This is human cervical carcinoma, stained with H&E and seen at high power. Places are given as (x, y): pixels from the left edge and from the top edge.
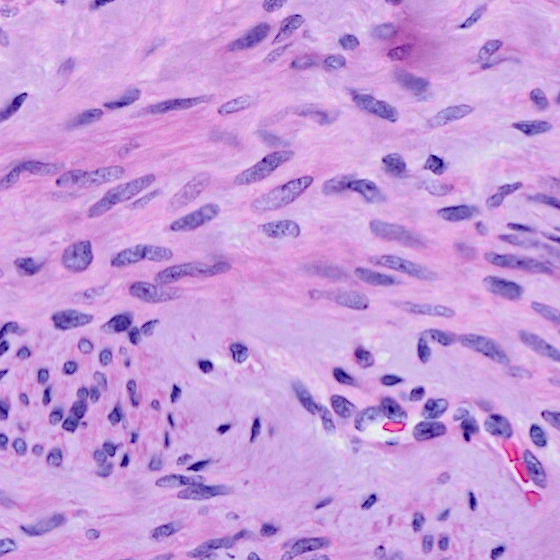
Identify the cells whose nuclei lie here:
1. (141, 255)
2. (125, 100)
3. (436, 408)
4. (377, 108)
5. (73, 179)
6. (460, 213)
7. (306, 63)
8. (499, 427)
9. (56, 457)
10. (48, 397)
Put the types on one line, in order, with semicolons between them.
smooth muscle cell; fibroblast; endothelial cell; fibroblast; smooth muscle cell; fibroblast; smooth muscle cell; endothelial cell; smooth muscle cell; smooth muscle cell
